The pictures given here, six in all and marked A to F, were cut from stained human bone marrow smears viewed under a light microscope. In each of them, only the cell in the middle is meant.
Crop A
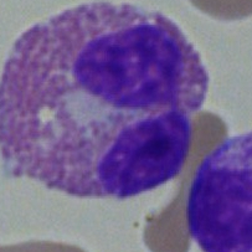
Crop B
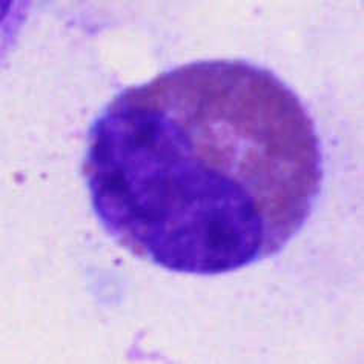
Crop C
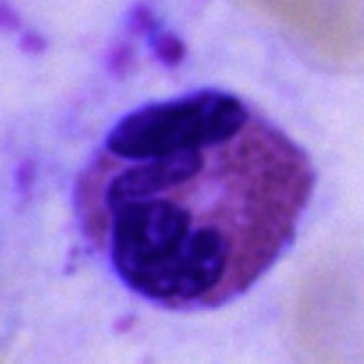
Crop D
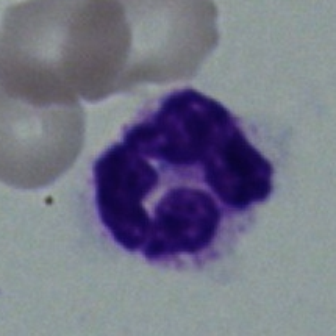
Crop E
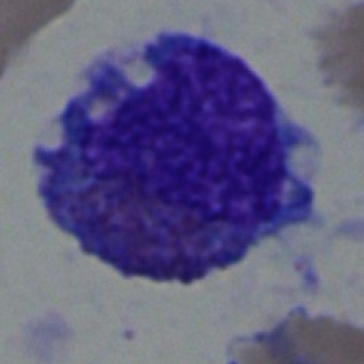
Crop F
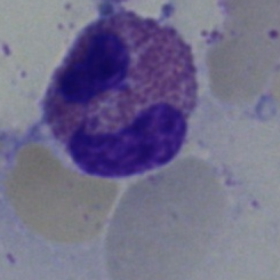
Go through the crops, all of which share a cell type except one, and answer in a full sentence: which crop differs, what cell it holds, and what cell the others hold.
Crop D is singled out as a segmented neutrophil, and all of the other crops show eosinophils.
